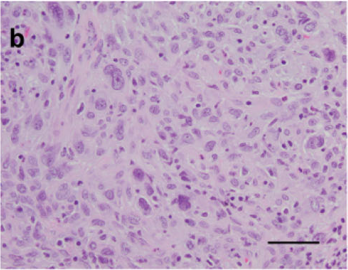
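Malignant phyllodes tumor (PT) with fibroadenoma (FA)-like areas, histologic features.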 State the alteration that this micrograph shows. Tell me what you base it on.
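Marked stromal cellularity and cytologic atypia. Densely packed stromal cells with little intervening matrix. Nuclei vary markedly in size and shape. Some nuclei are enlarged and bizarre.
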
